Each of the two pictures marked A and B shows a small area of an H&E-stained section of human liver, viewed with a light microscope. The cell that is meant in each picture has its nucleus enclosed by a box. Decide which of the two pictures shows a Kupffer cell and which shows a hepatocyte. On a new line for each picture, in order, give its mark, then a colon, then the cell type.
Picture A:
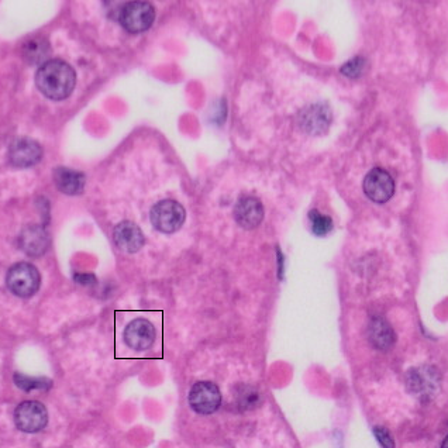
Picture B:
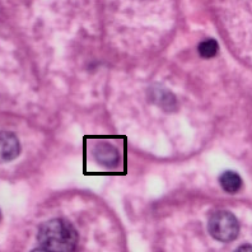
A: hepatocyte
B: Kupffer cell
